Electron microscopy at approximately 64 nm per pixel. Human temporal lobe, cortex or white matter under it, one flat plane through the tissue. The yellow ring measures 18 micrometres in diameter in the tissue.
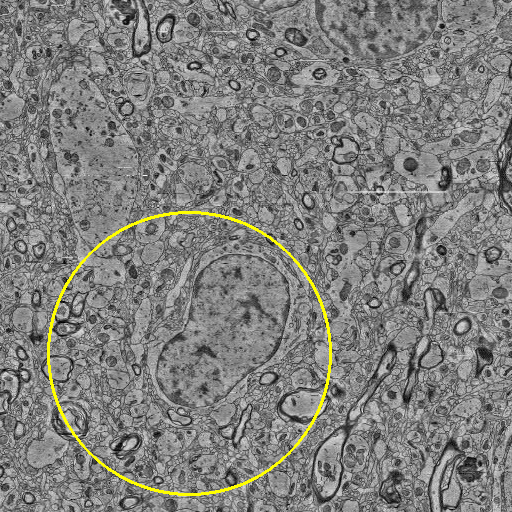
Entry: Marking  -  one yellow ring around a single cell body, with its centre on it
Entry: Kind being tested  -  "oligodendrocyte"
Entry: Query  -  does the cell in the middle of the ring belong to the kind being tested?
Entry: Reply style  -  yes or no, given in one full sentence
No, the centred cell within the ring in the picture belongs to a different kind.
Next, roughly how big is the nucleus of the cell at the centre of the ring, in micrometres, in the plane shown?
Roughly 11 micrometres by 7 micrometres, in this plane.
